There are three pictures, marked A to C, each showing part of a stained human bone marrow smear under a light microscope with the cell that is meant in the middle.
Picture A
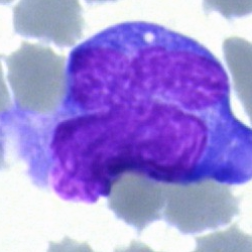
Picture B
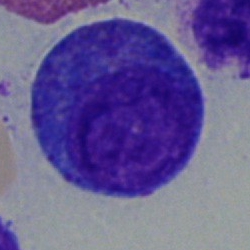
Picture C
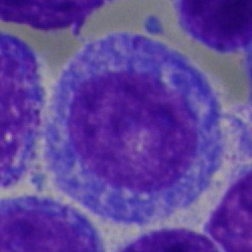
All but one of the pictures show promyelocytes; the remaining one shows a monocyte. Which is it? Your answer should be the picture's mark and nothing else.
A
